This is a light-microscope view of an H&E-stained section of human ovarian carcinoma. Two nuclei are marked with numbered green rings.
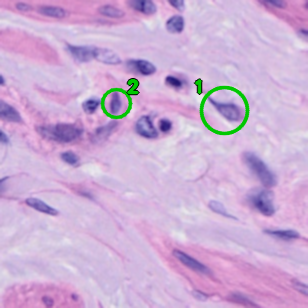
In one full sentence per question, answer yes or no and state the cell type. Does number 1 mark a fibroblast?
Yes, the cell marked by the number 1 is a fibroblast.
